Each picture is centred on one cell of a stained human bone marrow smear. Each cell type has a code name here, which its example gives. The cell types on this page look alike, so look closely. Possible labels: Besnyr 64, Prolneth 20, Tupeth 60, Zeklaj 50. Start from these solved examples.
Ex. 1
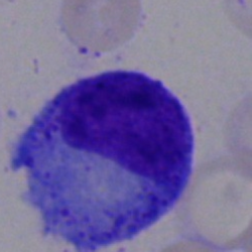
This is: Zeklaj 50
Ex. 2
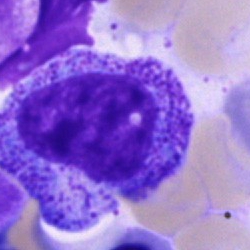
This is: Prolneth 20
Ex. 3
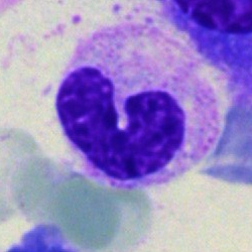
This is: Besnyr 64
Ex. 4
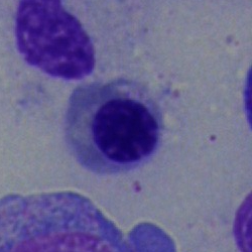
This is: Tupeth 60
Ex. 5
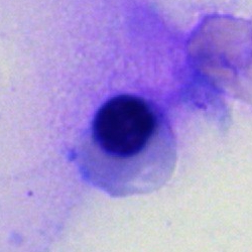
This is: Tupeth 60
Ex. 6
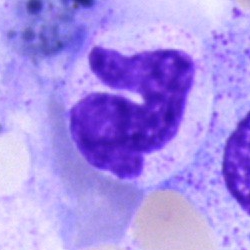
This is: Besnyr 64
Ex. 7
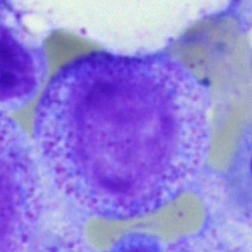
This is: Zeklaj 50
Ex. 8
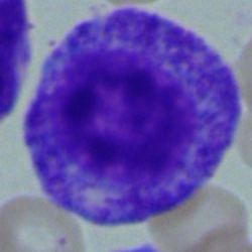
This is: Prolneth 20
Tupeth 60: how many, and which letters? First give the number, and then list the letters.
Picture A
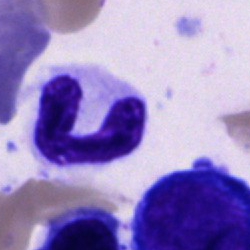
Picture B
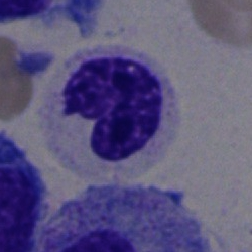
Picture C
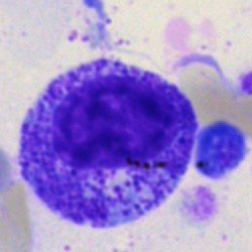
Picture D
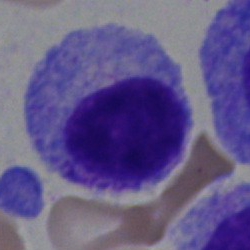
0, none of them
